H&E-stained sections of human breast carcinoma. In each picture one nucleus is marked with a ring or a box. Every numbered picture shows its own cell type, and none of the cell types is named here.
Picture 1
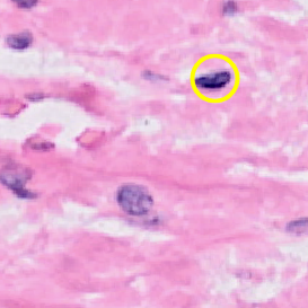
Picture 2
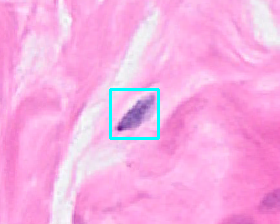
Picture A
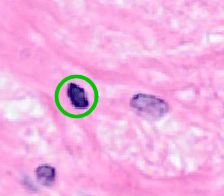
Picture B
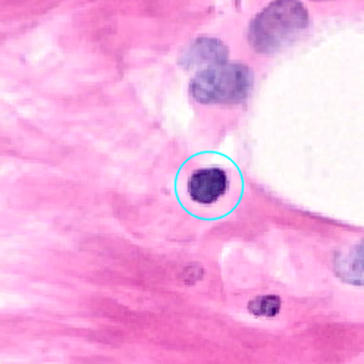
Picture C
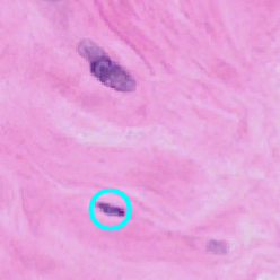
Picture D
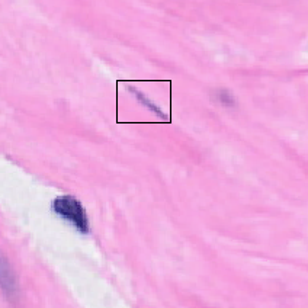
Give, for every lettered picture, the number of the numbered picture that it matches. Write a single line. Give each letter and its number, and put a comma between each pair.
A 1, B 1, C 2, D 2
